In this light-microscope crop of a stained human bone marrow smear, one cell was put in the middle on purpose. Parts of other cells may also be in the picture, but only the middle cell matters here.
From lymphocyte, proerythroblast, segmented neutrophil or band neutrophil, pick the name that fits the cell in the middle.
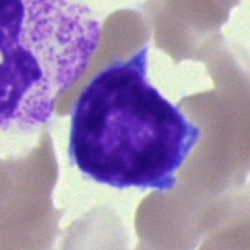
lymphocyte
